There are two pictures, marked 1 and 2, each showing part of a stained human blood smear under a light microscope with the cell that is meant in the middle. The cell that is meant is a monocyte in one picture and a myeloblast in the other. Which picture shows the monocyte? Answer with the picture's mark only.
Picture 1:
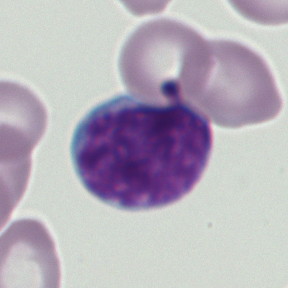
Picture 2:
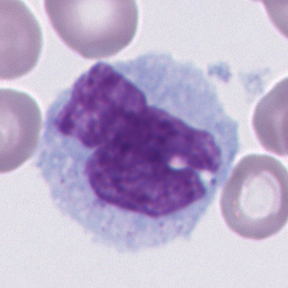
2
